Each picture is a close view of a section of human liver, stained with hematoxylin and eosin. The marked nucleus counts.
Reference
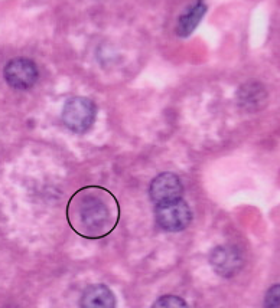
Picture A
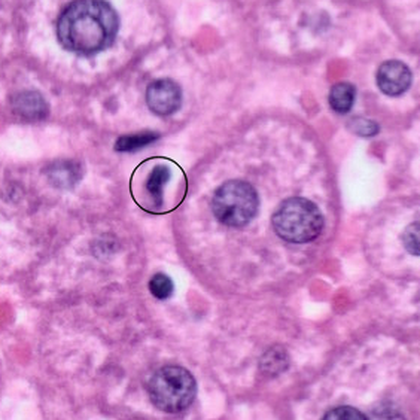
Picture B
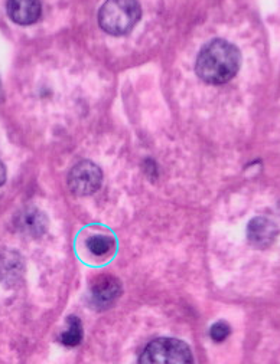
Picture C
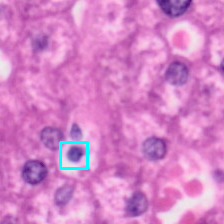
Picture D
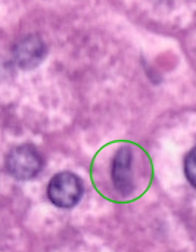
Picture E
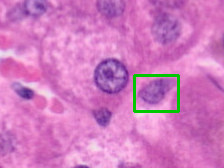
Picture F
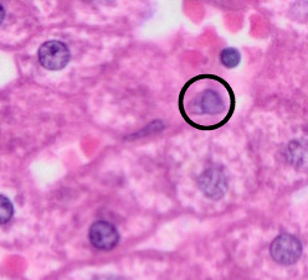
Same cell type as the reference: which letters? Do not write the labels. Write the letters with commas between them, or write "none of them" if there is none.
none of them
